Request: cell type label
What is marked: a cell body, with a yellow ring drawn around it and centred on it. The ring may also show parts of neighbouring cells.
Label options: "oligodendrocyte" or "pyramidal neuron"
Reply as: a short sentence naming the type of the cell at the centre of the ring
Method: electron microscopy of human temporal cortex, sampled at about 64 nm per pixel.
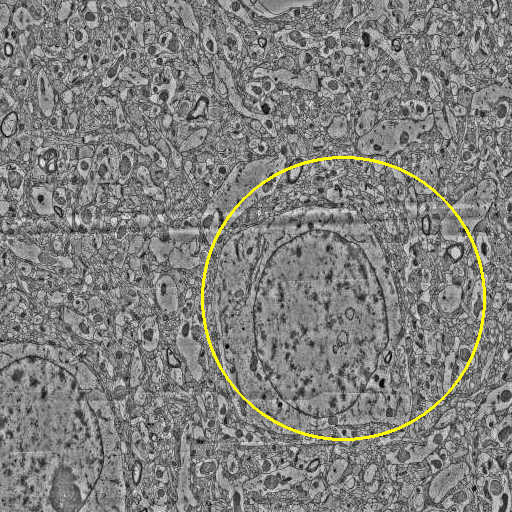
The marked cell body is that of a pyramidal neuron.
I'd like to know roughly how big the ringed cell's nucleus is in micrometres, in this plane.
In this plane the nucleus measures roughly 12 by 9 micrometres.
